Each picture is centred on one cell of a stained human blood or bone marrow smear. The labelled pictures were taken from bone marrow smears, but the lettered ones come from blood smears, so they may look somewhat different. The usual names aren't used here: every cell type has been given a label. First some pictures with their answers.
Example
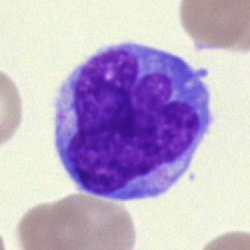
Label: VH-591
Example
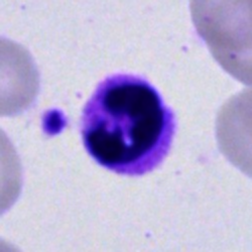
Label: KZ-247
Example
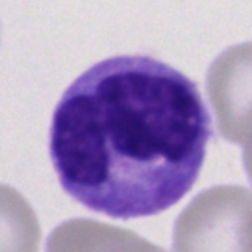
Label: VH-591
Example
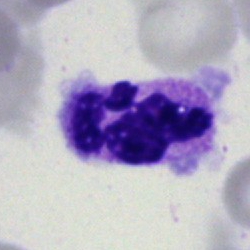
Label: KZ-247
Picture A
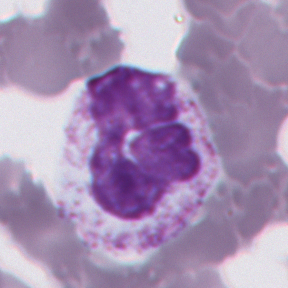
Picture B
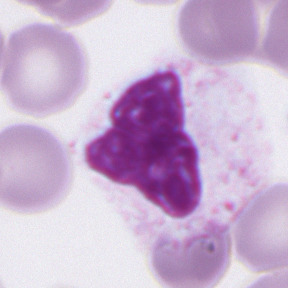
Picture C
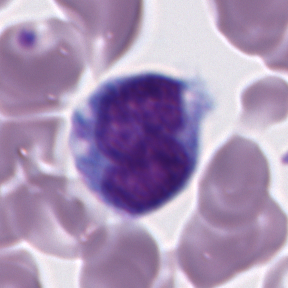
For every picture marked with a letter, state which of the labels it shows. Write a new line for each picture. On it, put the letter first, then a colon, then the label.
A: KZ-247
B: KZ-247
C: VH-591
